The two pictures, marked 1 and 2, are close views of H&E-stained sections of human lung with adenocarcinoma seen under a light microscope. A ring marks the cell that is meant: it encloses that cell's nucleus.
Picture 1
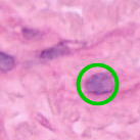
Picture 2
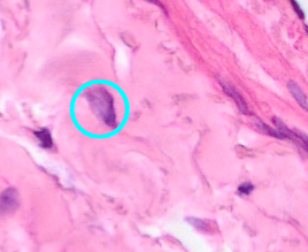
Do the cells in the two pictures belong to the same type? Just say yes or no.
no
